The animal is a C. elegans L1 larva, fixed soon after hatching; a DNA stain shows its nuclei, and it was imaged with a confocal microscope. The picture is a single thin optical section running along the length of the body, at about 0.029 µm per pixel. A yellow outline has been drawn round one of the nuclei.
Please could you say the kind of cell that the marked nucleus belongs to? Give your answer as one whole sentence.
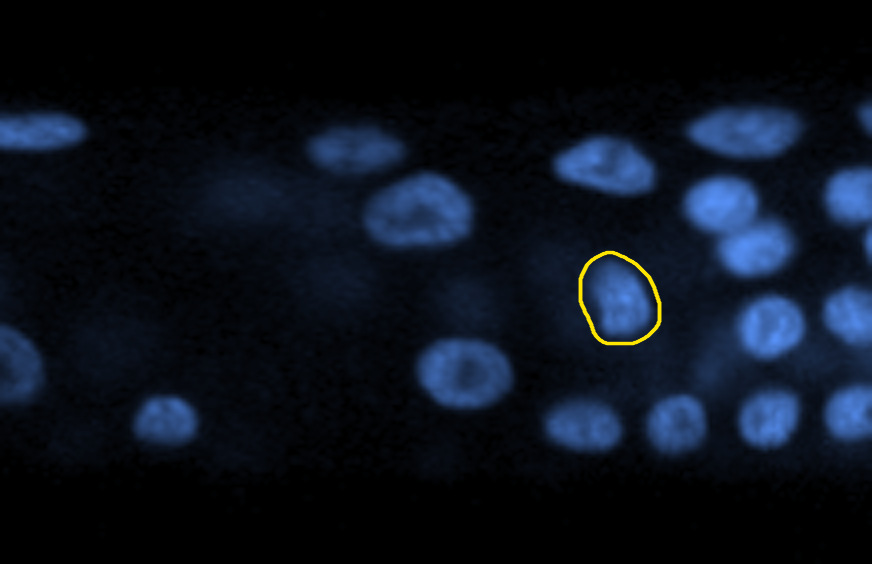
This is the nucleus of a valve cell of the gut.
